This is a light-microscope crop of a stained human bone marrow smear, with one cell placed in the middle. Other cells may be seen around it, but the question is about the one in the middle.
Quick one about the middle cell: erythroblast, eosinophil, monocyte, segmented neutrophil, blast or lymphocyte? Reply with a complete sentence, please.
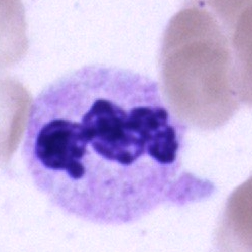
As for the cell in the middle, it is a segmented neutrophil.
